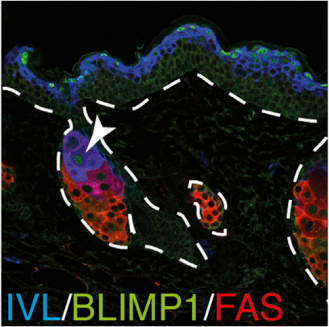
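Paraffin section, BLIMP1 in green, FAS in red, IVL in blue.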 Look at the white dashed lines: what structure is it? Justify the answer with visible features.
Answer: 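The dashed line runs beneath the multilayered surface epithelium at the top. The dashed lines also enclose the follicle and gland epithelium that reaches down into the loose underlying tissue.
Answer: epidermal-dermal boundary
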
